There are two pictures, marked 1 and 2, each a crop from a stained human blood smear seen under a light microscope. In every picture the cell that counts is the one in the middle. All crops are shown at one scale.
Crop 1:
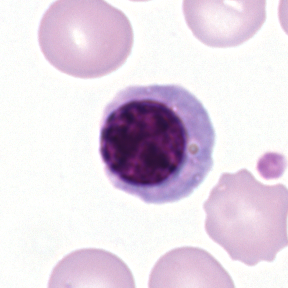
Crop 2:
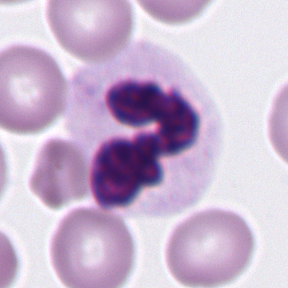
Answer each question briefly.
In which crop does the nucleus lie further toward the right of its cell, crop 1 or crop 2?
2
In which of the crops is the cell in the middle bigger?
2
